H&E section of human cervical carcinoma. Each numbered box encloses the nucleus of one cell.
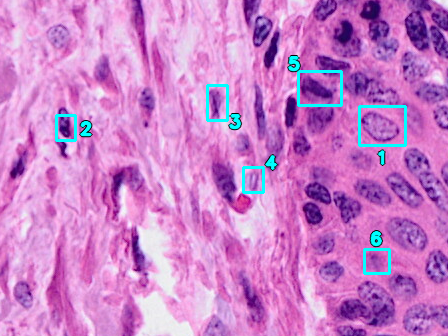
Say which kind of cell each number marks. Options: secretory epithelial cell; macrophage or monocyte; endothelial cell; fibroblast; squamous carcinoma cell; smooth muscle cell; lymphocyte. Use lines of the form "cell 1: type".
cell 1: squamous carcinoma cell
cell 2: lymphocyte
cell 3: fibroblast
cell 4: endothelial cell
cell 5: squamous carcinoma cell
cell 6: squamous carcinoma cell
